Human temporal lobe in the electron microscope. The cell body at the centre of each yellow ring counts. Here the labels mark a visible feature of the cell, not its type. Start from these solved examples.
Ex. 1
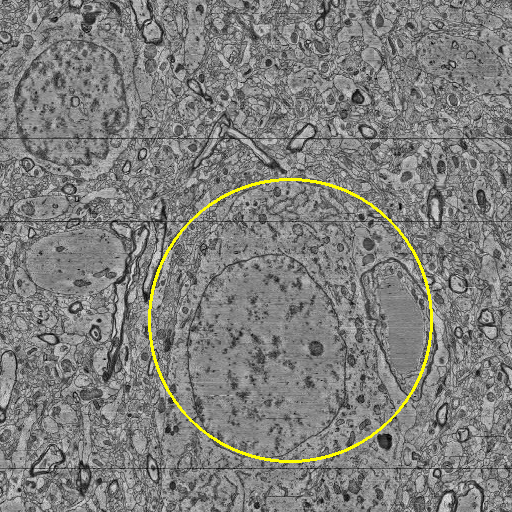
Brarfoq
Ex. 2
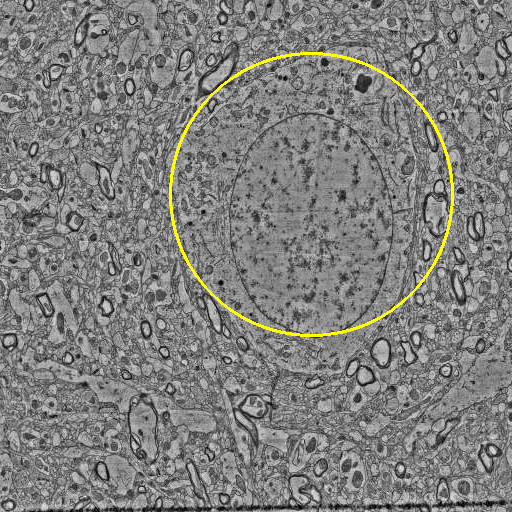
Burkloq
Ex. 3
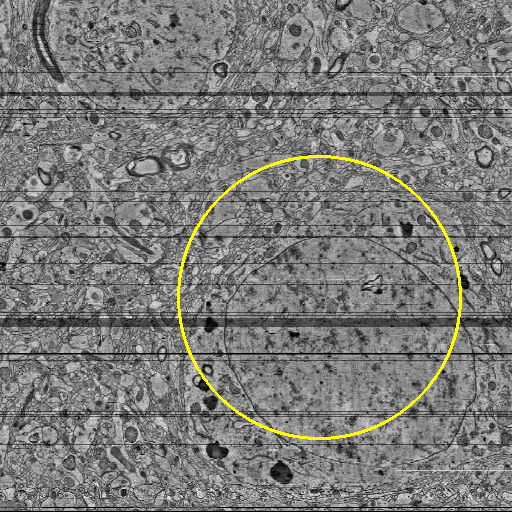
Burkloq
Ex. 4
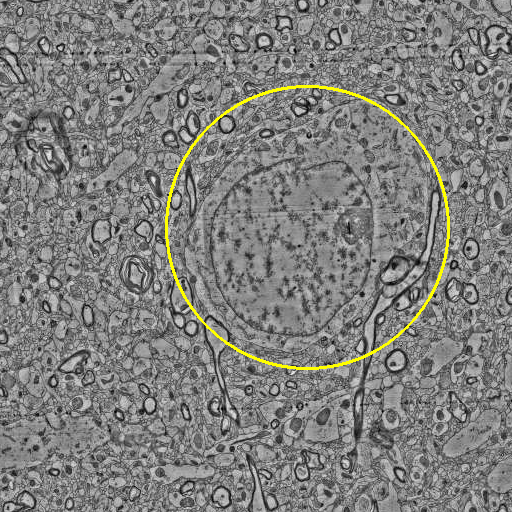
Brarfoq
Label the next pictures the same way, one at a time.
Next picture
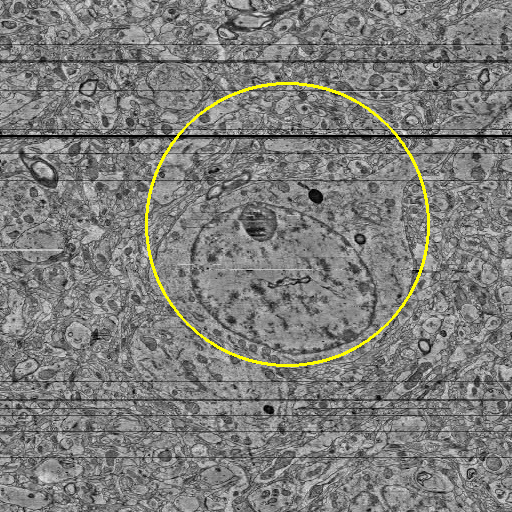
Brarfoq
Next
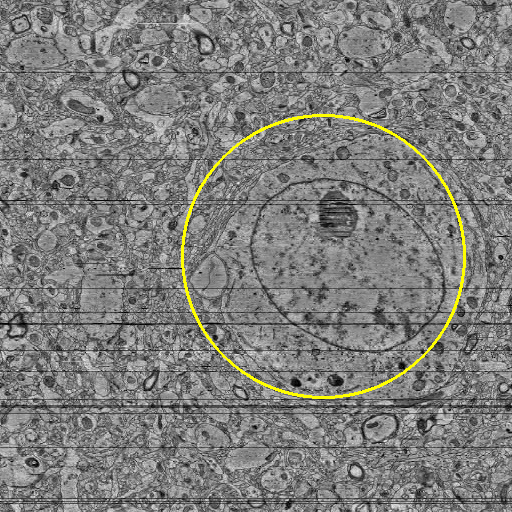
Brarfoq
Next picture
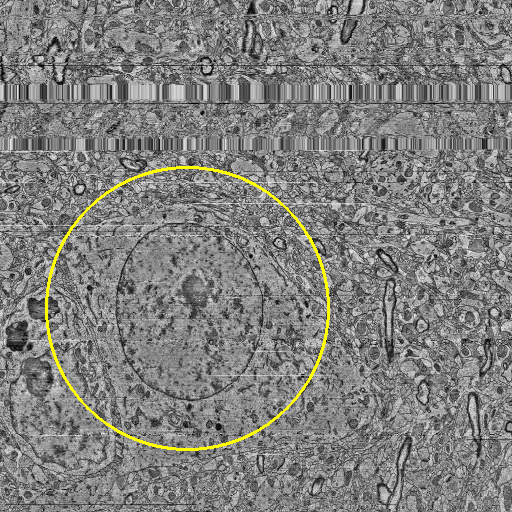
Brarfoq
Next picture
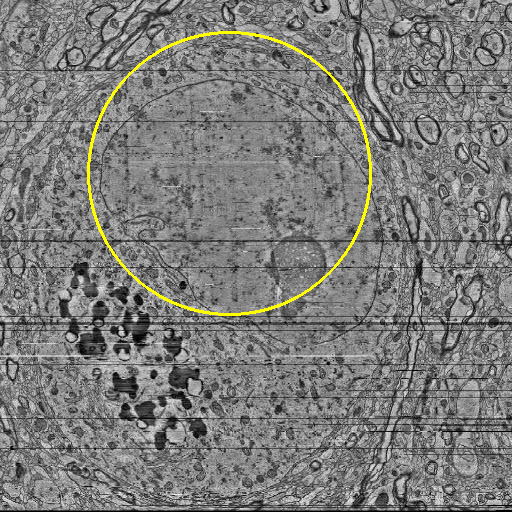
Brarfoq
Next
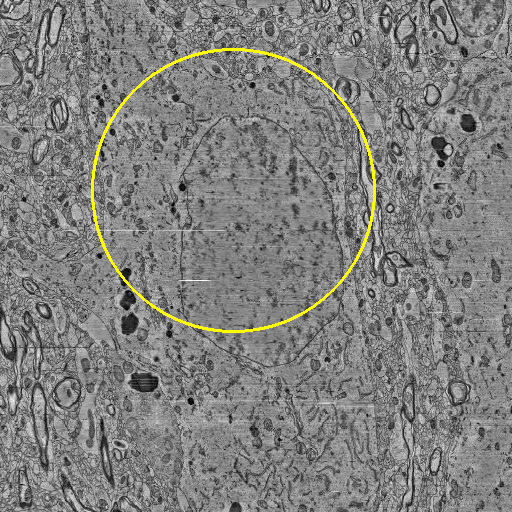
Burkloq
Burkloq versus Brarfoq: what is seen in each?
Burkloq: no nucleolus seen; Brarfoq: nucleolus seen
